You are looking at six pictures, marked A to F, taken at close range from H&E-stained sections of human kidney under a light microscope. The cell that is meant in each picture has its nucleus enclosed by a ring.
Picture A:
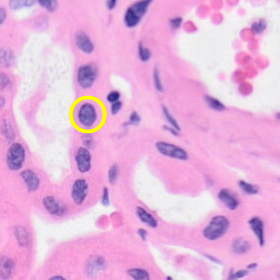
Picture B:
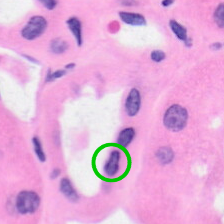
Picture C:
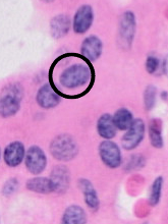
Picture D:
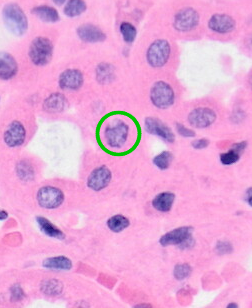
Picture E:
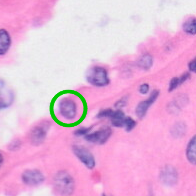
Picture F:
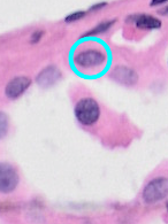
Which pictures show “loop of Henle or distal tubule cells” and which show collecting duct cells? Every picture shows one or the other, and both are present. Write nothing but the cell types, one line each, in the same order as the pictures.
collecting duct cell
collecting duct cell
collecting duct cell
loop of Henle or distal tubule cell
loop of Henle or distal tubule cell
collecting duct cell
